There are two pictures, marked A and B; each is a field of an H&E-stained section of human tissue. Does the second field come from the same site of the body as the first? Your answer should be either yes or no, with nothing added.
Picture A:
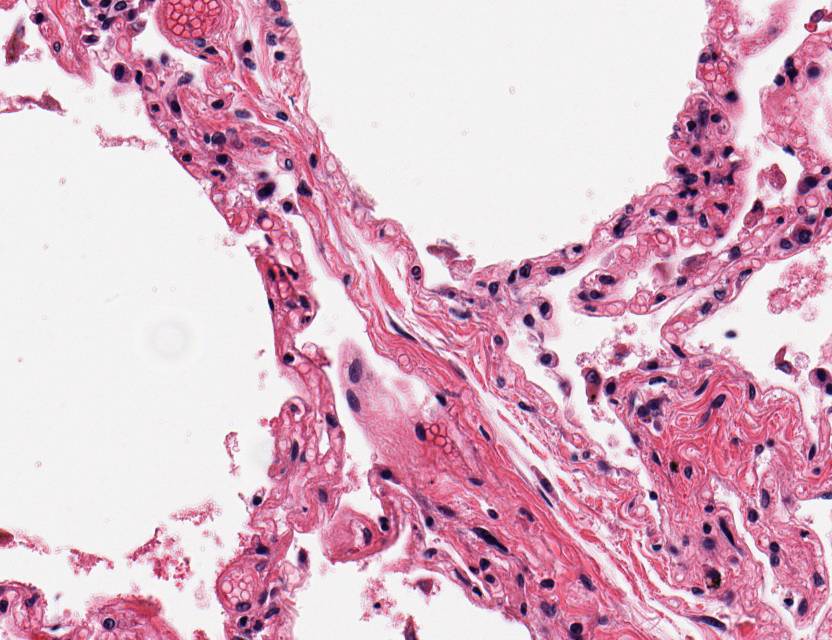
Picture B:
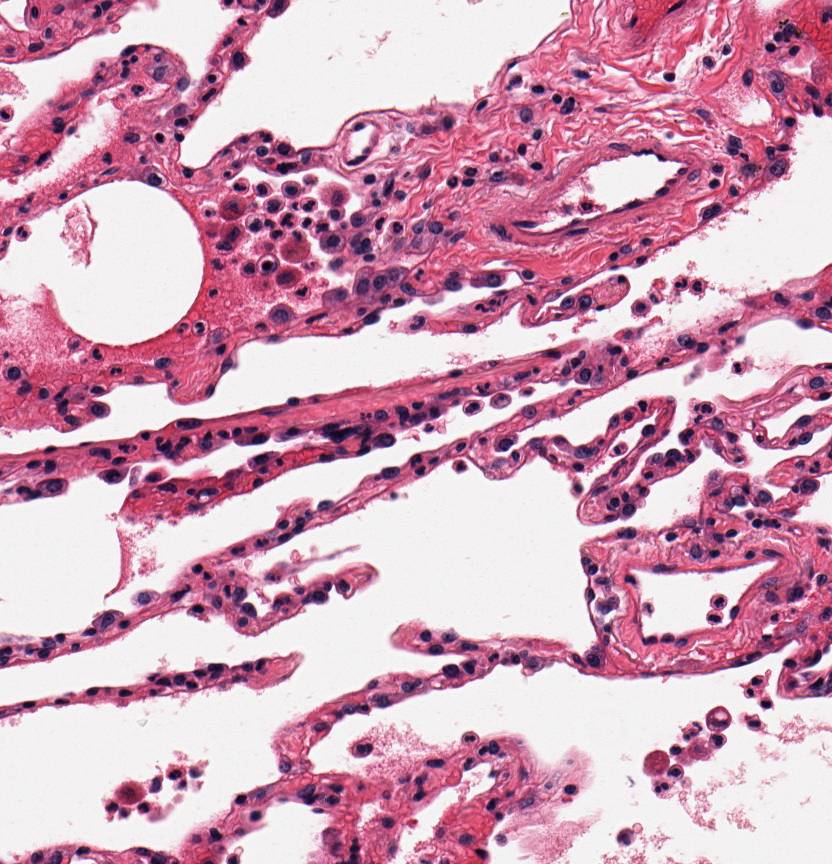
yes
